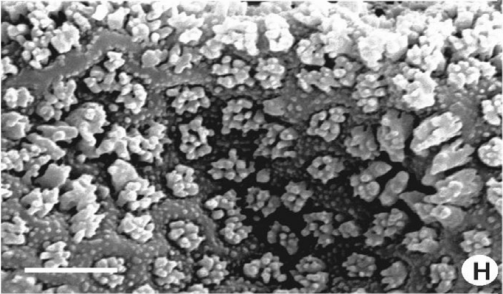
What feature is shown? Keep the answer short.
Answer: Rosettes.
